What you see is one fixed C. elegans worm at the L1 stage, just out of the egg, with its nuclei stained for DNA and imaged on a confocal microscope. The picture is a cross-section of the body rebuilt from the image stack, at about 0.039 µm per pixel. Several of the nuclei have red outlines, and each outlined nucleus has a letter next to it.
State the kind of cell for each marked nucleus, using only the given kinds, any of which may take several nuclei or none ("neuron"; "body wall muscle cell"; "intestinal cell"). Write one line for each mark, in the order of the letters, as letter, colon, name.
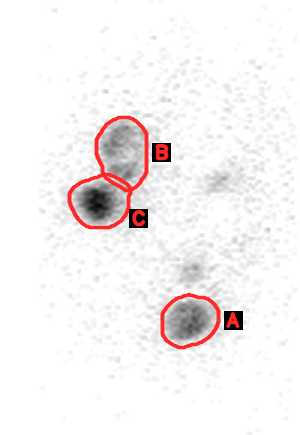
A: body wall muscle cell
B: intestinal cell
C: neuron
